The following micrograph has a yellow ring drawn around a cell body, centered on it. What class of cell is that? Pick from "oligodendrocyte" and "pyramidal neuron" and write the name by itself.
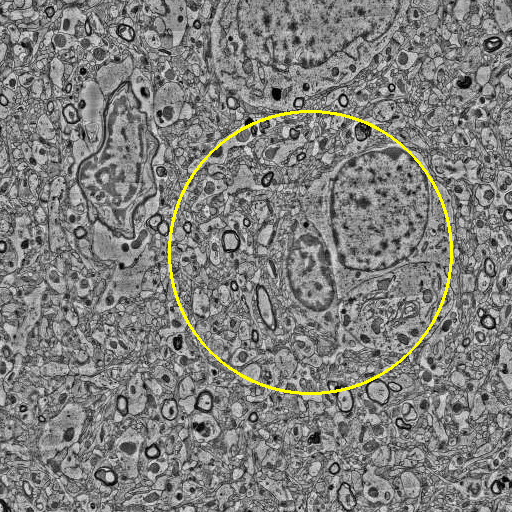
oligodendrocyte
